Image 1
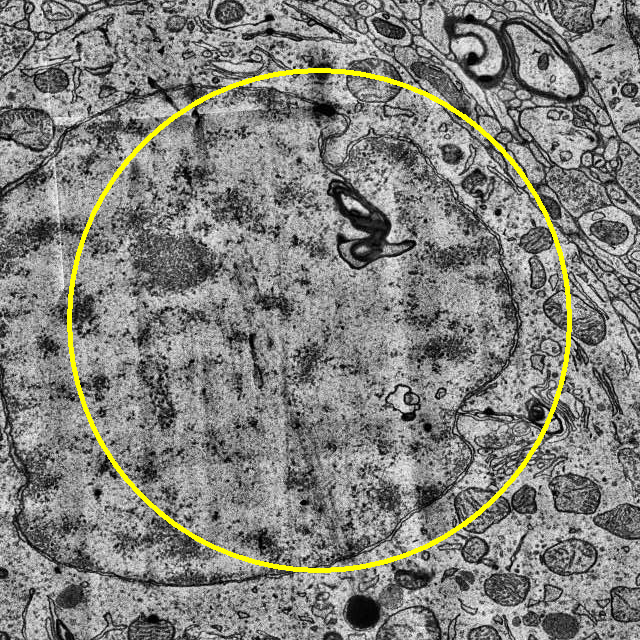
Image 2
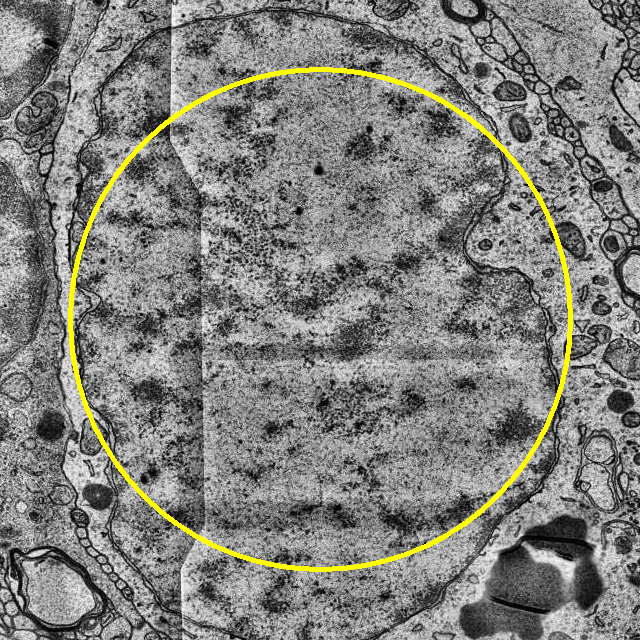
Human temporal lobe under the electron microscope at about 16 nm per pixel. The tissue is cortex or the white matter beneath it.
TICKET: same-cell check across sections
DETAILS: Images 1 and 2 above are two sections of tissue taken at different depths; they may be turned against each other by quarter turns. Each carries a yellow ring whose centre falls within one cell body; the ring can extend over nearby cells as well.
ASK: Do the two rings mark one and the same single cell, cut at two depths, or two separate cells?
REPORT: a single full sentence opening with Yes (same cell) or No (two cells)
No, the two rings mark two different cells.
